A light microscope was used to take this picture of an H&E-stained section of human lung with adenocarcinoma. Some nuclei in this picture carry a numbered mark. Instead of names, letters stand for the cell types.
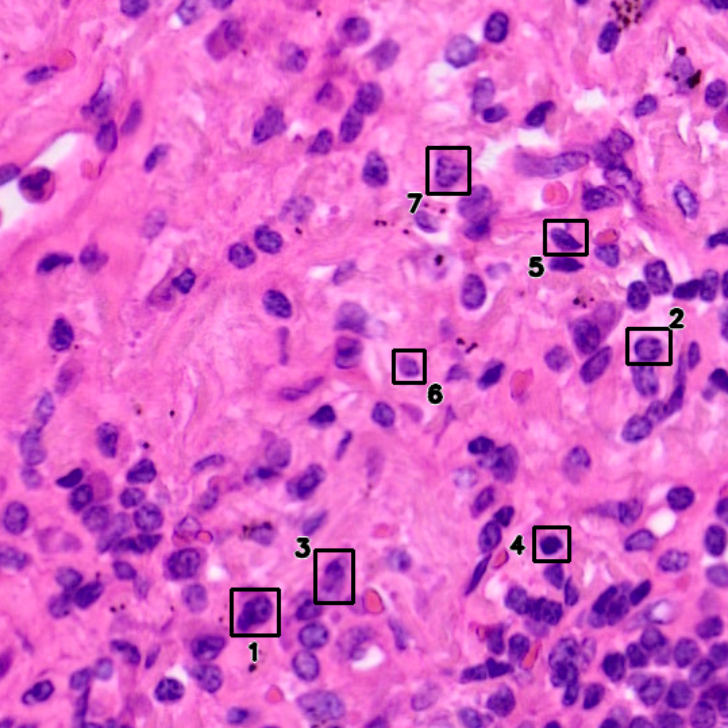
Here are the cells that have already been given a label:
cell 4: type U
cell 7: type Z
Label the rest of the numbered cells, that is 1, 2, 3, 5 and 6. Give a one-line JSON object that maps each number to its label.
{"1": "type Z", "2": "type U", "3": "type Z", "5": "type U", "6": "type U"}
